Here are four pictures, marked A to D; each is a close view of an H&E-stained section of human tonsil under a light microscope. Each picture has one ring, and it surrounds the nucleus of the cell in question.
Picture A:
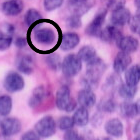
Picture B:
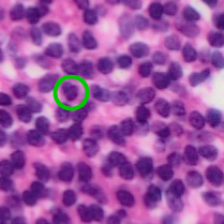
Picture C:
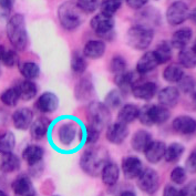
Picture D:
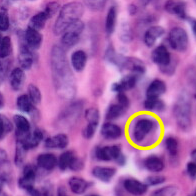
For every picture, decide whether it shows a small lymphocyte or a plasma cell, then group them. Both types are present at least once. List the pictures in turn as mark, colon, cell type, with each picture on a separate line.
A: small lymphocyte
B: small lymphocyte
C: small lymphocyte
D: plasma cell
